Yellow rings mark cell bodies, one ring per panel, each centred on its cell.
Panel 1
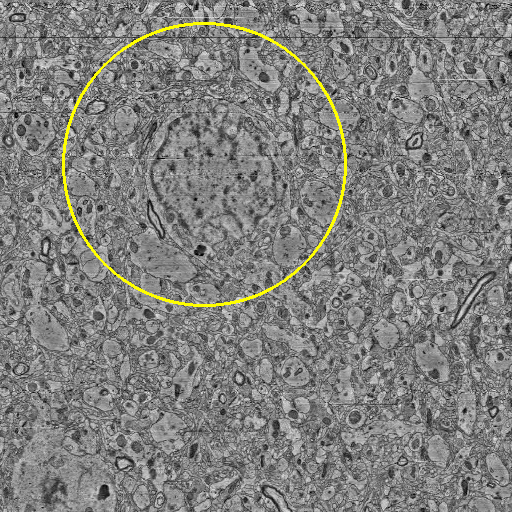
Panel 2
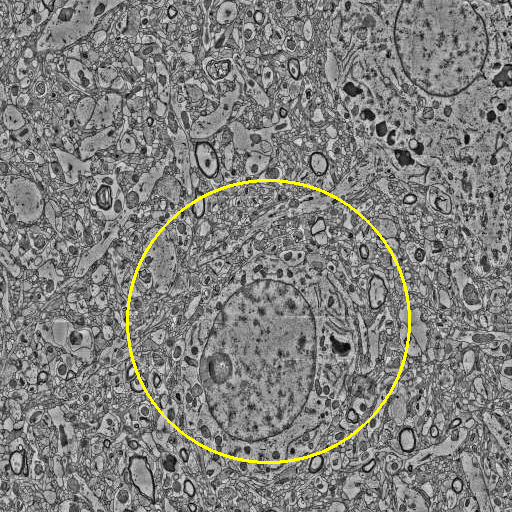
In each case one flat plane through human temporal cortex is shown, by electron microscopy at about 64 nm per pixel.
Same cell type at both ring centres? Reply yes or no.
yes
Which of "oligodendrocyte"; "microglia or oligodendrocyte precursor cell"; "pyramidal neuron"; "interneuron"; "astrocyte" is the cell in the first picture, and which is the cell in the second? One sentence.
Both the first and the second picture show an interneuron in the ring.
